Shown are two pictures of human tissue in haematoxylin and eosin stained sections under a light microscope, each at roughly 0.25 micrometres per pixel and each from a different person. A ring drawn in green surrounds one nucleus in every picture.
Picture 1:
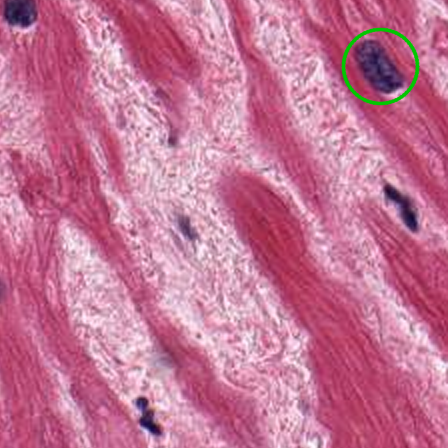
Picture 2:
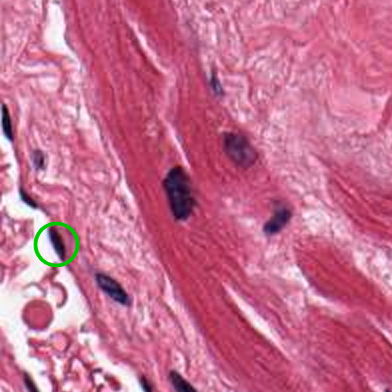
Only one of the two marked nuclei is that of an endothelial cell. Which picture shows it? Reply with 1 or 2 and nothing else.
2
